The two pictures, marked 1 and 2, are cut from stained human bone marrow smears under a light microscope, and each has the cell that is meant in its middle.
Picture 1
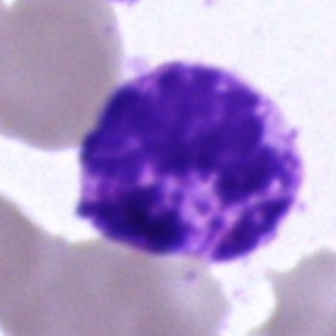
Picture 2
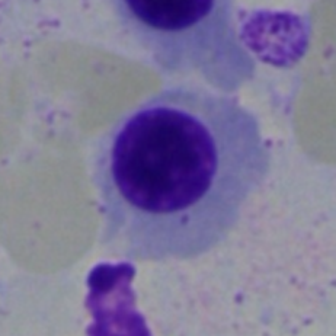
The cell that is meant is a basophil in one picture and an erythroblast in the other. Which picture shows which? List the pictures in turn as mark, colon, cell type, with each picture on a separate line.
1: basophil
2: erythroblast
